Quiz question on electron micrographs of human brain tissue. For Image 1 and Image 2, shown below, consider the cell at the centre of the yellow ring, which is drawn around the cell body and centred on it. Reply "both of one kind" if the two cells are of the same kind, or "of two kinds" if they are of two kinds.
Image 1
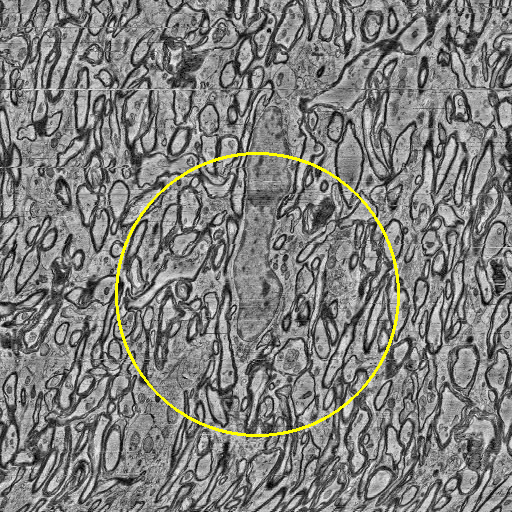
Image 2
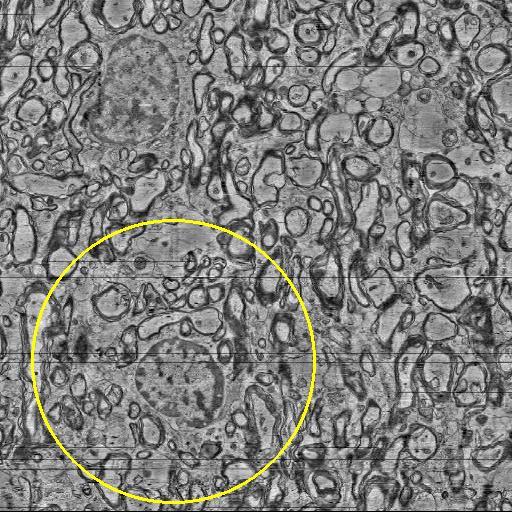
both of one kind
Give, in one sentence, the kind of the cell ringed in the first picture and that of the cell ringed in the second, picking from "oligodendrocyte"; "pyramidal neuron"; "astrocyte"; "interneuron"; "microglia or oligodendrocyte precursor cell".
Both pictures show a microglial cell or oligodendrocyte precursor cell at the centre of the ring.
